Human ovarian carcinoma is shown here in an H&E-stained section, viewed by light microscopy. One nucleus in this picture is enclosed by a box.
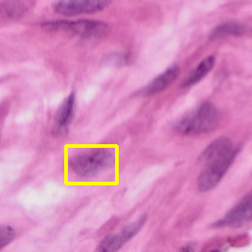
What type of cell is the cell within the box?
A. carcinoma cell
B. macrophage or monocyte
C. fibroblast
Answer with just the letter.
C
